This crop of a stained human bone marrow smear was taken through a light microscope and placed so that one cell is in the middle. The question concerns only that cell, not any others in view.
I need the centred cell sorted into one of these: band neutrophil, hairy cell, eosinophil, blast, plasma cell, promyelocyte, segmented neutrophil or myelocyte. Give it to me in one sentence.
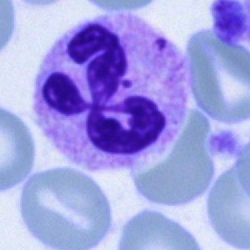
In the centre of this crop there is a segmented neutrophil.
